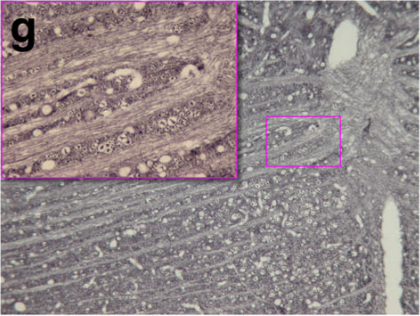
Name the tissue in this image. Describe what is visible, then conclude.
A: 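Parallel bundles of fibres run across the panel. The inset shows longitudinally running fibres between cell profiles. On this evidence: white matter tracts.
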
